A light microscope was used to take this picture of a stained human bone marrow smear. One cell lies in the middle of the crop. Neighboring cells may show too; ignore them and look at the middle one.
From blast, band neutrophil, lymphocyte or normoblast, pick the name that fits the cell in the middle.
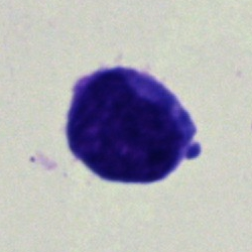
blast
